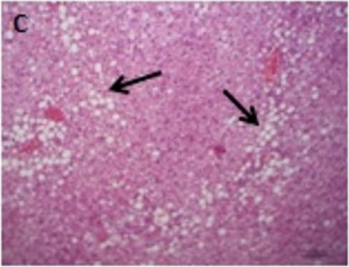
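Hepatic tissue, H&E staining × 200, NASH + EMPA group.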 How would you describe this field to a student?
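Liver parenchyma at low power with patches of small, round, clear vacuoles set among areas of solid pink hepatocyte cytoplasm. The vacuolated patches are scattered and uneven, with solid tissue between them; black arrows point to clusters of vacuoles. A few small vessels with red blood cells lie in the field. No broad fibrous bands divide the tissue; at most thin pink strands are present. Single nuclei are hardly resolved at this magnification.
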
